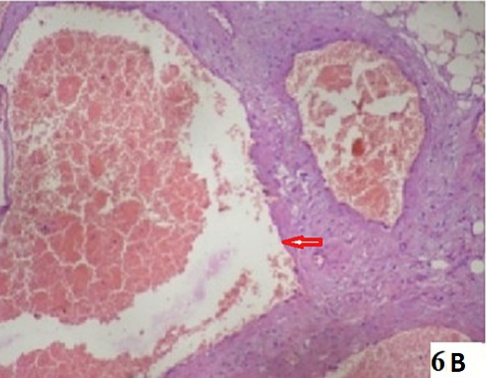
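At low power, this mass is made of large, dilated vascular channels. They are packed with red blood cells, which stain pink-red and fill the rounded spaces. Each channel is lined only by a very thin layer of flattened endothelial cells. The channels are separated by bands of pink-purple fibrous interstitium containing scattered nuclei. Clear, empty-looking fat cells lie at the upper right.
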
